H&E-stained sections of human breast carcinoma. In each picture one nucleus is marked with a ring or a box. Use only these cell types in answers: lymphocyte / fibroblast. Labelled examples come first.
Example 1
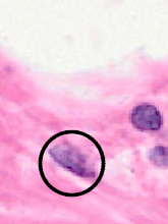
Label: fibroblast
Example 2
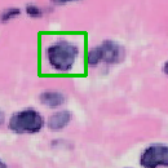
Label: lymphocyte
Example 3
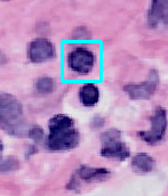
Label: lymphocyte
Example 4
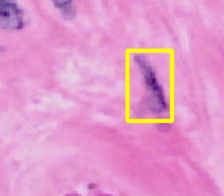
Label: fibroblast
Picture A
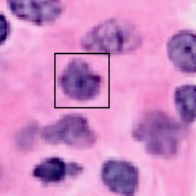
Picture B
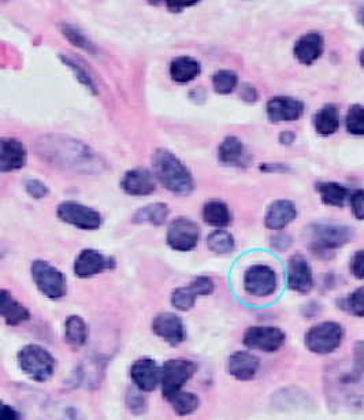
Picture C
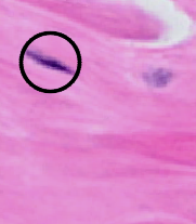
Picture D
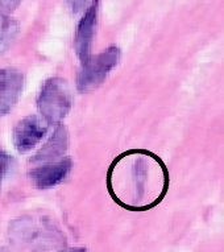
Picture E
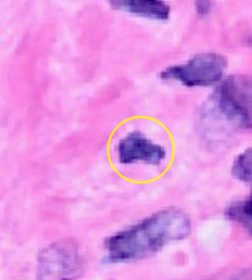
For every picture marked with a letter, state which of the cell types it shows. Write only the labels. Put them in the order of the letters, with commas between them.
lymphocyte, lymphocyte, fibroblast, fibroblast, lymphocyte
